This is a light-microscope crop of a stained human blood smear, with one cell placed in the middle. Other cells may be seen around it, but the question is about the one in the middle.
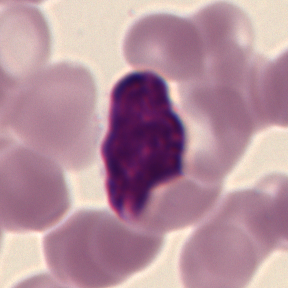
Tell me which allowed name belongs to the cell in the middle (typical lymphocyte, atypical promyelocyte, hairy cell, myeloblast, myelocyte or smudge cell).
smudge cell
